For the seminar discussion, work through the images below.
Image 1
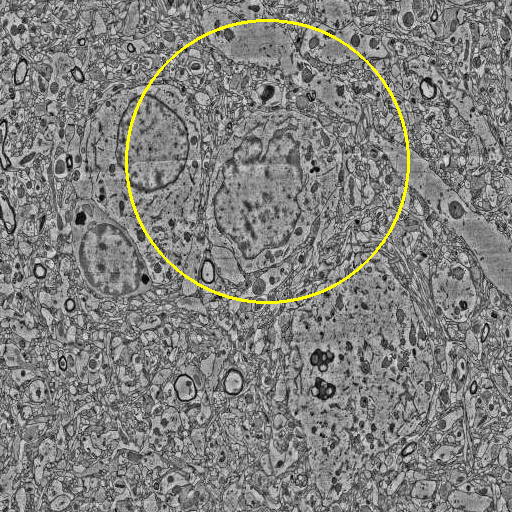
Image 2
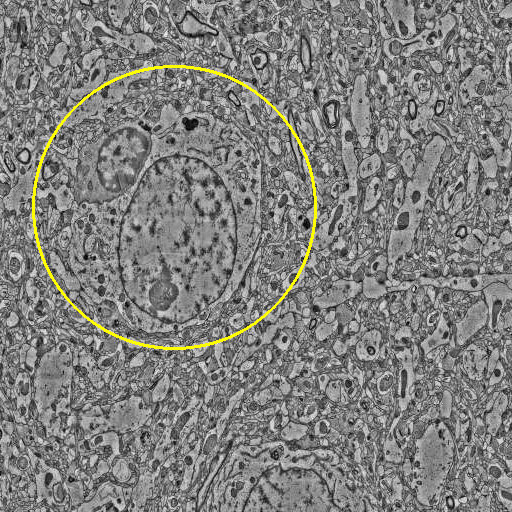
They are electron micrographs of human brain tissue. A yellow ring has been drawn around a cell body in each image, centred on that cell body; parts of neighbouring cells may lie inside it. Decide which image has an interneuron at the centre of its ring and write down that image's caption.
Image 1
